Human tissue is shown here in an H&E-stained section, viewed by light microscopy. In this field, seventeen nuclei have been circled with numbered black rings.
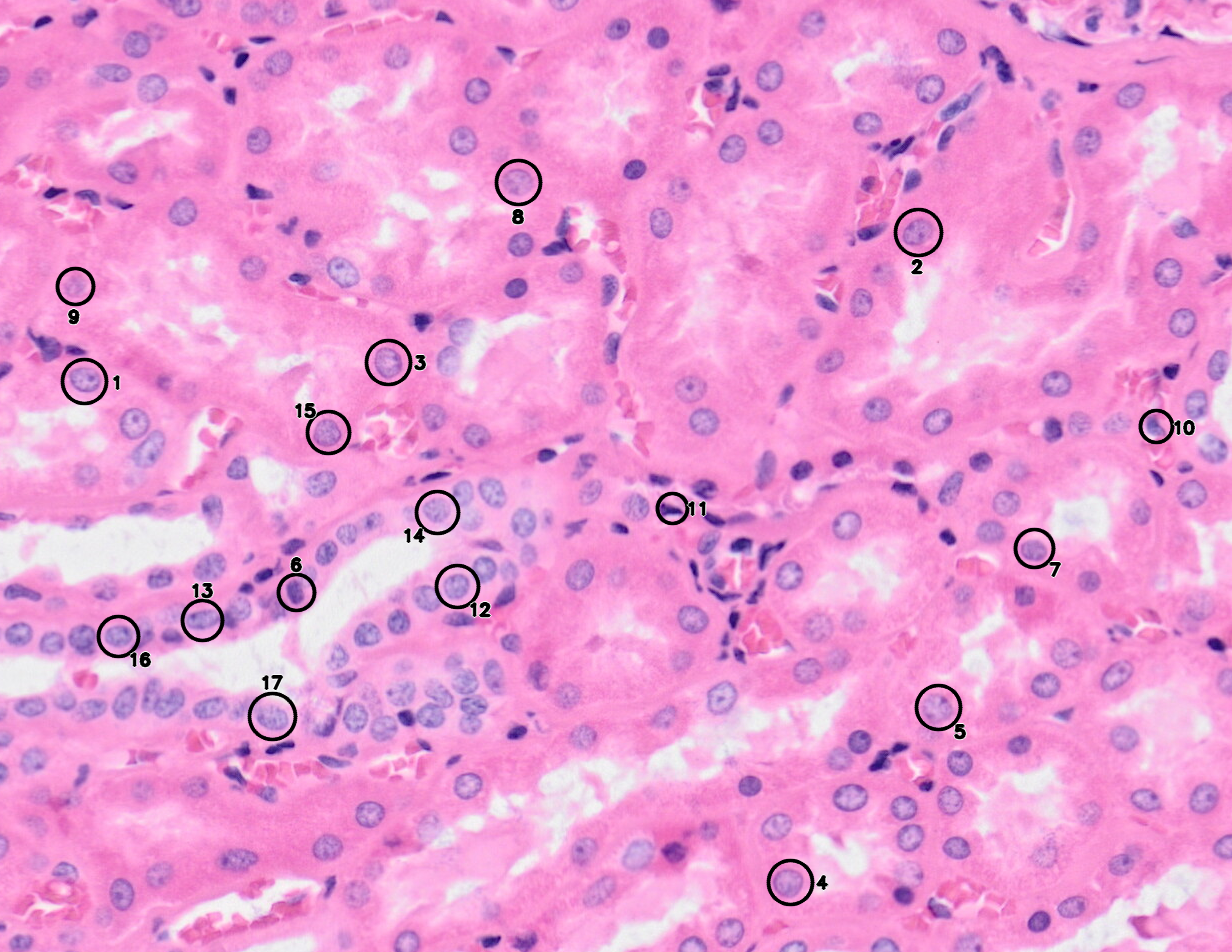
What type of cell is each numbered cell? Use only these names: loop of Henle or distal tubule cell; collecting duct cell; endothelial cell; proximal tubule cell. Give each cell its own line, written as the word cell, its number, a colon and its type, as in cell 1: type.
cell 1: proximal tubule cell
cell 2: proximal tubule cell
cell 3: proximal tubule cell
cell 4: proximal tubule cell
cell 5: proximal tubule cell
cell 6: collecting duct cell
cell 7: proximal tubule cell
cell 8: proximal tubule cell
cell 9: proximal tubule cell
cell 10: endothelial cell
cell 11: loop of Henle or distal tubule cell
cell 12: collecting duct cell
cell 13: collecting duct cell
cell 14: collecting duct cell
cell 15: proximal tubule cell
cell 16: collecting duct cell
cell 17: collecting duct cell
